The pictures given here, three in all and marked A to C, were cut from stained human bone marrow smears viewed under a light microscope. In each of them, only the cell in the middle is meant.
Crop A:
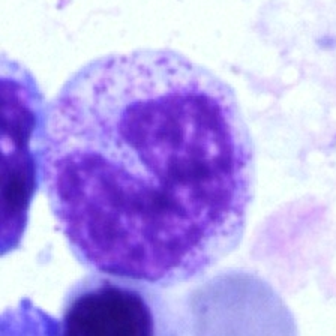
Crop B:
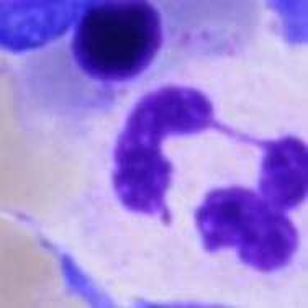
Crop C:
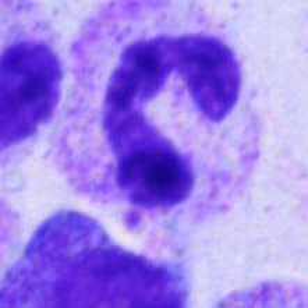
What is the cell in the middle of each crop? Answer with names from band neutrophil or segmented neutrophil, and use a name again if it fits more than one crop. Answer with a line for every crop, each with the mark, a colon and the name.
A: band neutrophil
B: segmented neutrophil
C: band neutrophil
